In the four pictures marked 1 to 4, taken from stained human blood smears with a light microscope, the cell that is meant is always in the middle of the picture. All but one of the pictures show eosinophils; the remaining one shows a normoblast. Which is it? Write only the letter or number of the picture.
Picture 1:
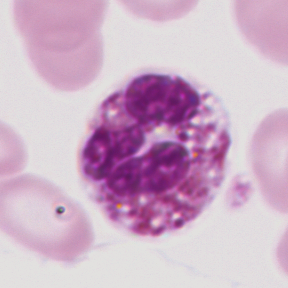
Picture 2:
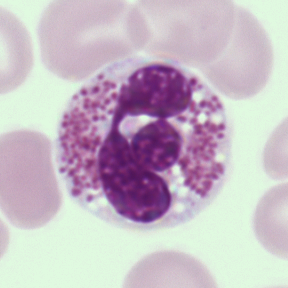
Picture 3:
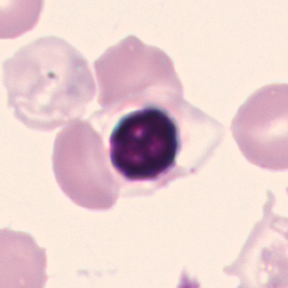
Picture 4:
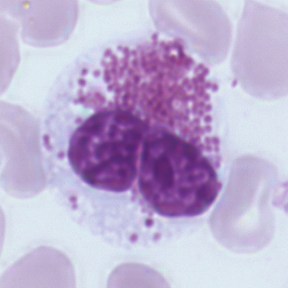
3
